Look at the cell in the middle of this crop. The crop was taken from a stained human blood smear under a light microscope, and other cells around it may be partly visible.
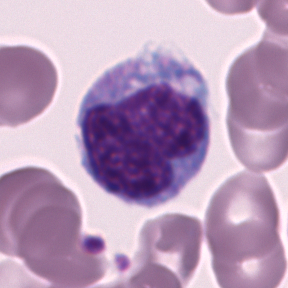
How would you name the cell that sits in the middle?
monocyte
